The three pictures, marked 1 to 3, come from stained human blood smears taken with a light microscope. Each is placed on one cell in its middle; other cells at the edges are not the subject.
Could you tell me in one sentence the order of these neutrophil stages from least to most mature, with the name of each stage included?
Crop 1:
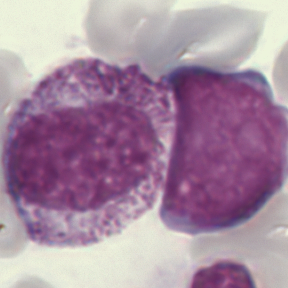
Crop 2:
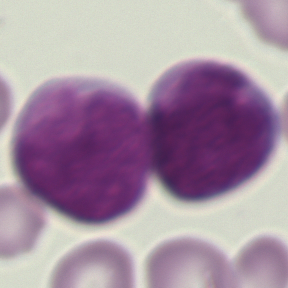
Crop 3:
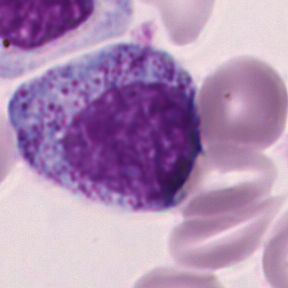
Proceeding from least to most mature, the order is crop 2 (a myeloblast), crop 3 (a promyelocyte) and crop 1 (a myelocyte).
